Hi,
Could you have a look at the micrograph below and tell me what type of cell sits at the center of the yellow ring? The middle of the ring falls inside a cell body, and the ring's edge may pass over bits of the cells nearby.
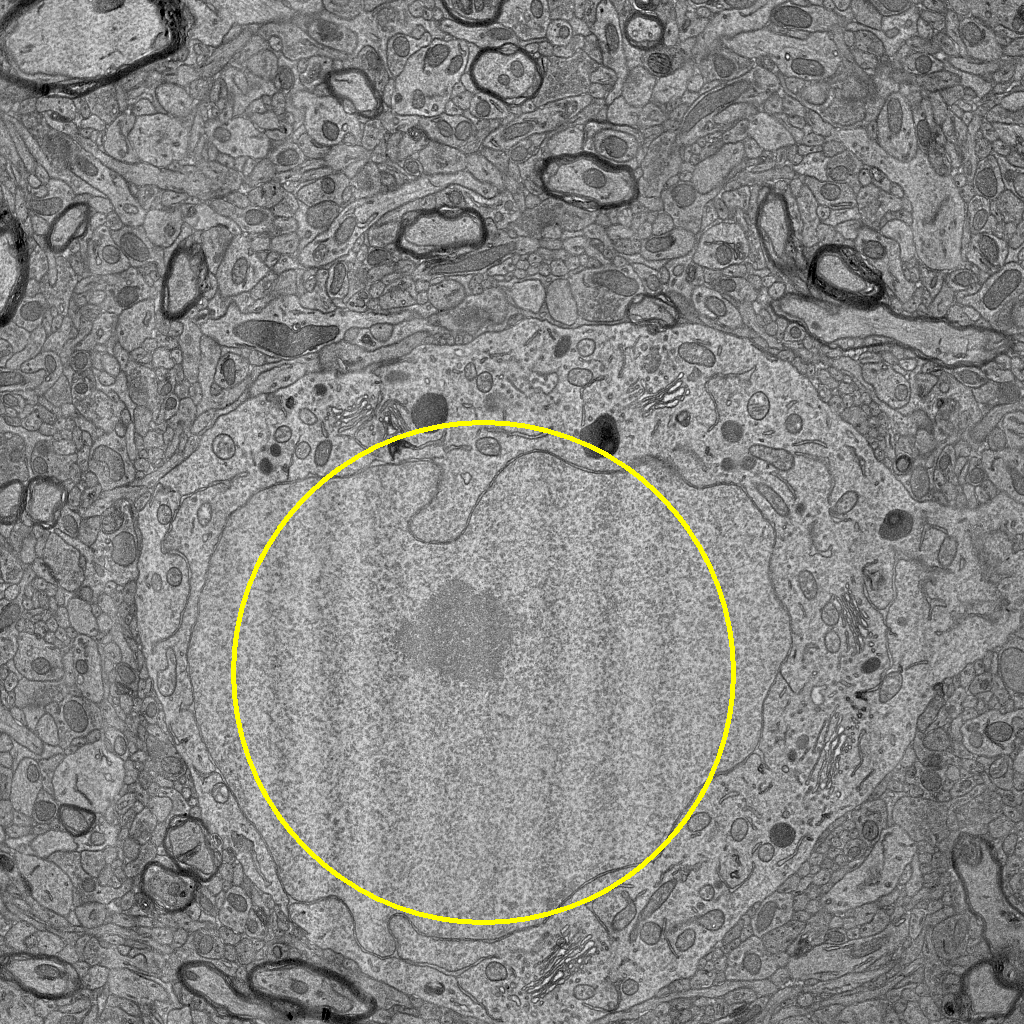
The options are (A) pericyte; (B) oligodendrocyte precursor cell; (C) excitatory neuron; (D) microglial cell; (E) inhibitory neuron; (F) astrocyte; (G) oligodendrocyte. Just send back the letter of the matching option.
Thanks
E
